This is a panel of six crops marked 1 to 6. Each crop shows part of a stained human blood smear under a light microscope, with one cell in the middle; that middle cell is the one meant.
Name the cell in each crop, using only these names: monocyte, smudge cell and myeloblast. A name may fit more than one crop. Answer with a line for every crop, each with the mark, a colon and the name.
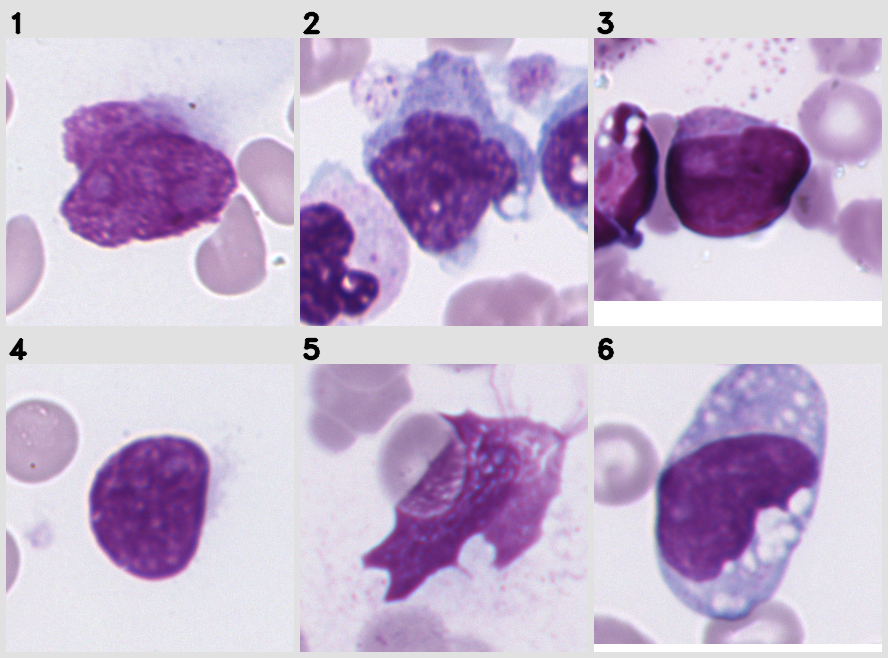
1: smudge cell
2: monocyte
3: myeloblast
4: smudge cell
5: smudge cell
6: monocyte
